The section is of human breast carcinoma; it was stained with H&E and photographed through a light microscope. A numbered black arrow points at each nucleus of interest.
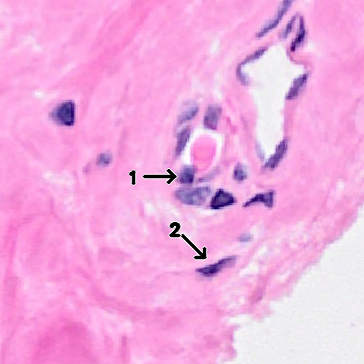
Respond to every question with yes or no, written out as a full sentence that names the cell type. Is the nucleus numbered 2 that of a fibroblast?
Yes, the cell that goes by number 2 is a fibroblast.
